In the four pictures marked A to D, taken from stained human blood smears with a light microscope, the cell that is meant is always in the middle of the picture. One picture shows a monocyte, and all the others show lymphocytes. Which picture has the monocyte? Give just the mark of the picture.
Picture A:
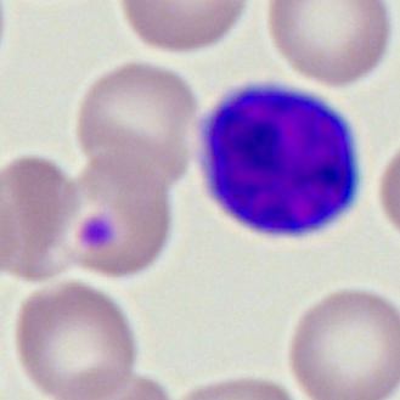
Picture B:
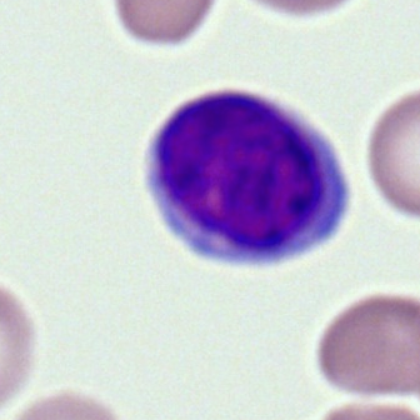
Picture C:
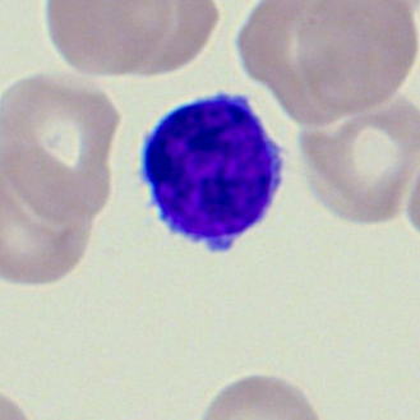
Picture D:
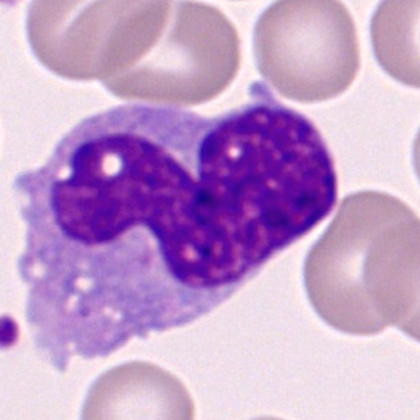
D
